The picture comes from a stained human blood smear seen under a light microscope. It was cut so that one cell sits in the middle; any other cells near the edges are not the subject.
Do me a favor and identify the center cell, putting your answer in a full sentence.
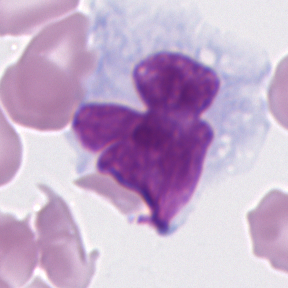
The cell at the middle of the frame should be recorded as a hairy cell.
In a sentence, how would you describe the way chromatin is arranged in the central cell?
In this cell the chromatin is fine rather than coarsely clumped.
